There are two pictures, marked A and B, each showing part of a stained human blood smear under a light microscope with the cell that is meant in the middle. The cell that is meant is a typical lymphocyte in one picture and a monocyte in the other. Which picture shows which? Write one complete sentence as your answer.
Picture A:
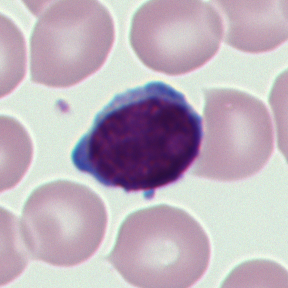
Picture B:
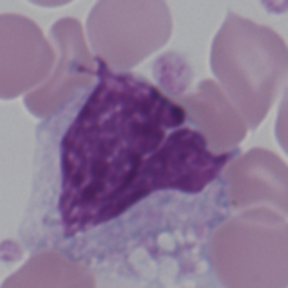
The cell in picture A is a typical lymphocyte, and the one in picture B is a monocyte.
